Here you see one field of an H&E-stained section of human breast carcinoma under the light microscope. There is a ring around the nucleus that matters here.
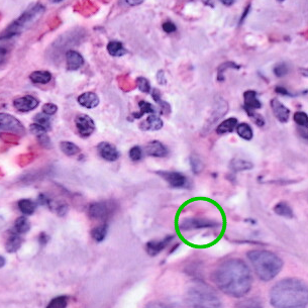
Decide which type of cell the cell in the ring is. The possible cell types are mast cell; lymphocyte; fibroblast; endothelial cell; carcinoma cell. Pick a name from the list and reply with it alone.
endothelial cell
